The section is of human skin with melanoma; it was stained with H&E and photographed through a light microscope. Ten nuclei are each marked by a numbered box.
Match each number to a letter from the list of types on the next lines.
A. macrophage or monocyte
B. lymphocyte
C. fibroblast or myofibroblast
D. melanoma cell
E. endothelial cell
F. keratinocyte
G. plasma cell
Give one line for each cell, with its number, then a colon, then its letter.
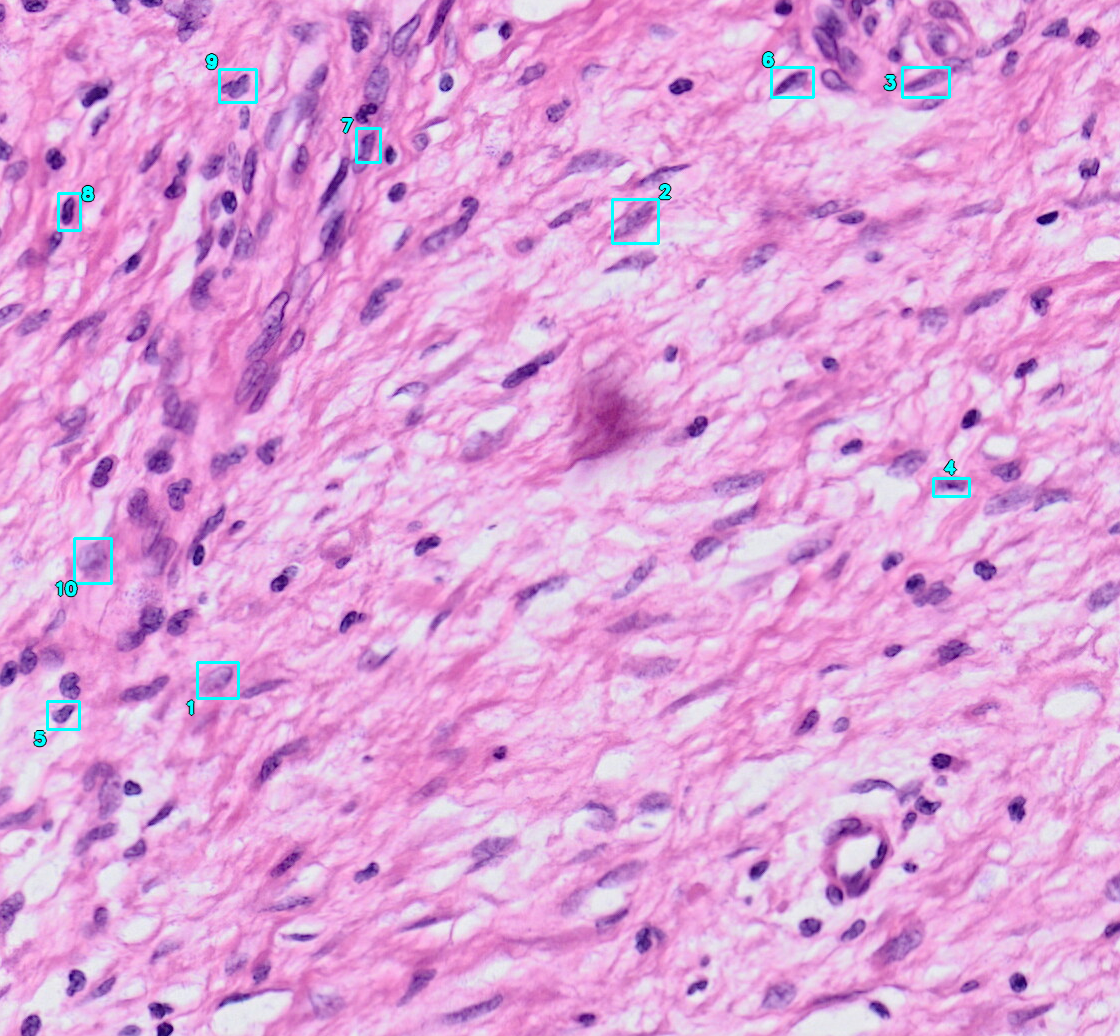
1: C
2: C
3: C
4: C
5: B
6: C
7: E
8: B
9: B
10: C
